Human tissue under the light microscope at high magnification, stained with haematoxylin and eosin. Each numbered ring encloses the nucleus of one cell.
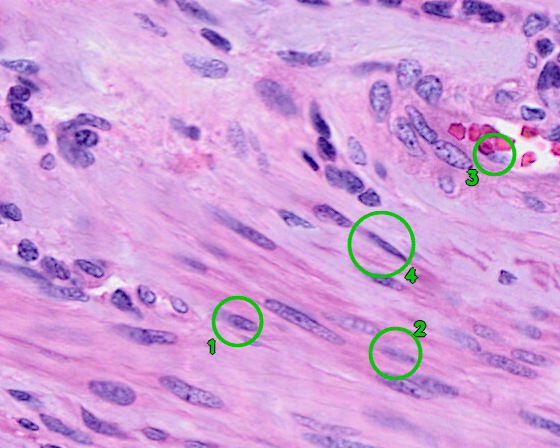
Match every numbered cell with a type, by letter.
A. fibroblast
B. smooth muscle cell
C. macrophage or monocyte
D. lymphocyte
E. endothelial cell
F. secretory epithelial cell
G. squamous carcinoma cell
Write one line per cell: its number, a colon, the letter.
1: B
2: B
3: E
4: B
